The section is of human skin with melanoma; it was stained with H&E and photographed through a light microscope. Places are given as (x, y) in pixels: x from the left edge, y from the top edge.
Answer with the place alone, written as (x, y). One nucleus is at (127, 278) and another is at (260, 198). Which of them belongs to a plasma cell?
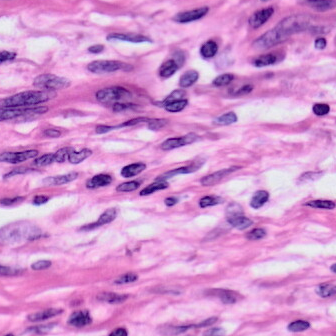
(127, 278)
